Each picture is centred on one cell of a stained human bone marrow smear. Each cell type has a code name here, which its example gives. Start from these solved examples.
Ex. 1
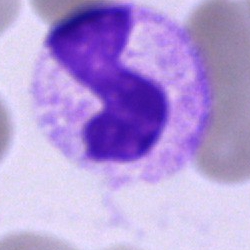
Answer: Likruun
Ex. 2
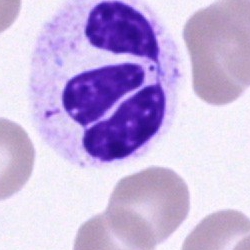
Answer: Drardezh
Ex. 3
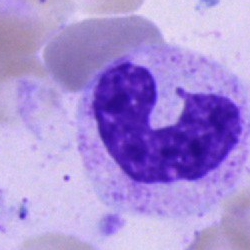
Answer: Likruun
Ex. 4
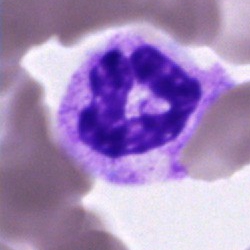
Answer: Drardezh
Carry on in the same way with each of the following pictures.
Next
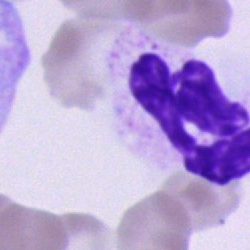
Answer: Drardezh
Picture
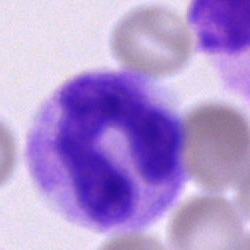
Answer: Likruun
